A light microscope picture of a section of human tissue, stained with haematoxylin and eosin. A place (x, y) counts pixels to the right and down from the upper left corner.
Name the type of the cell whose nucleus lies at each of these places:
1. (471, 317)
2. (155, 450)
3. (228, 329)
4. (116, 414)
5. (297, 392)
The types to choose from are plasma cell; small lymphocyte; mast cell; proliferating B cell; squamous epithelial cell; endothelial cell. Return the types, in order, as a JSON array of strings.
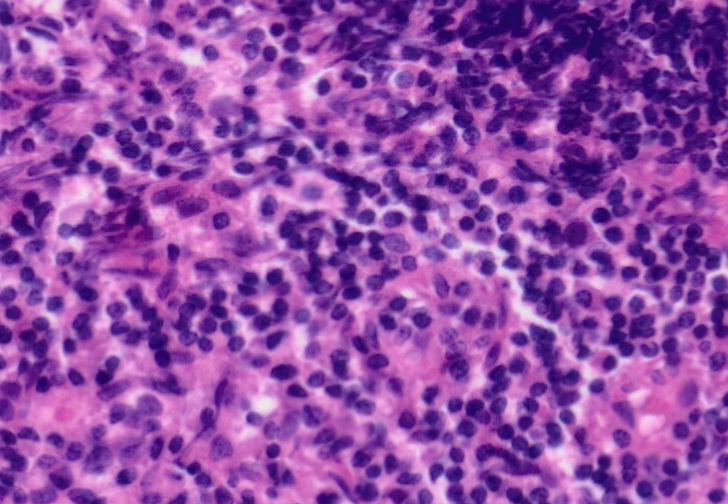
["plasma cell", "plasma cell", "small lymphocyte", "squamous epithelial cell", "plasma cell"]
